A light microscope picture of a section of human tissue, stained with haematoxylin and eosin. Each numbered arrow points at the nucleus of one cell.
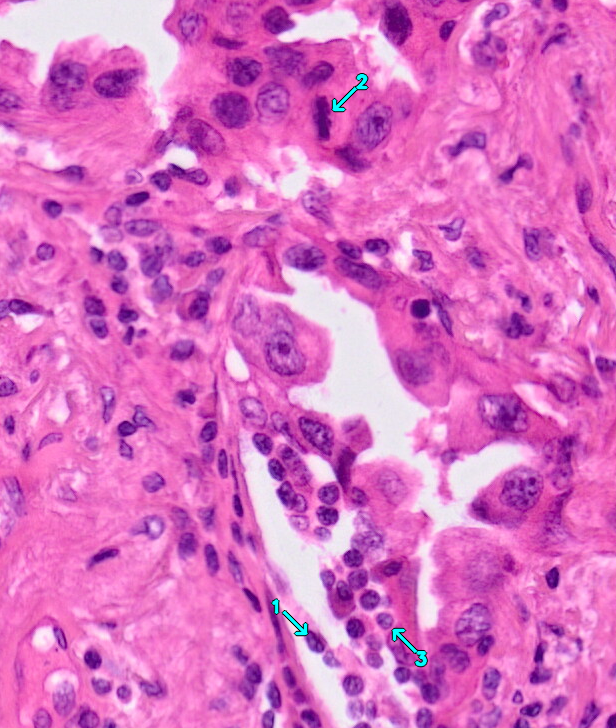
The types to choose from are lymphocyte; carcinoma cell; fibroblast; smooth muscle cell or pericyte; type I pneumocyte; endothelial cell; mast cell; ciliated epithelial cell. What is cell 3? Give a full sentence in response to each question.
Within this field of view, the cell labelled 3 is a lymphocyte.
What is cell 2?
Among the marked cells, number 2 is a carcinoma cell.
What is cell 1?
The cell to which the number 1 is assigned is a lymphocyte.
